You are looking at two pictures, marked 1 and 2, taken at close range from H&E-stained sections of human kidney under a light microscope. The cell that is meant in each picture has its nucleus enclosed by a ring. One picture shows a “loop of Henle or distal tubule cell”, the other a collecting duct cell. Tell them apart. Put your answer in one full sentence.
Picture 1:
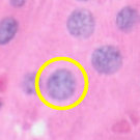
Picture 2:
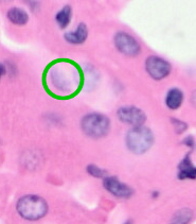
In picture 1 the cell is a “loop of Henle or distal tubule cell”; in picture 2, a collecting duct cell.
